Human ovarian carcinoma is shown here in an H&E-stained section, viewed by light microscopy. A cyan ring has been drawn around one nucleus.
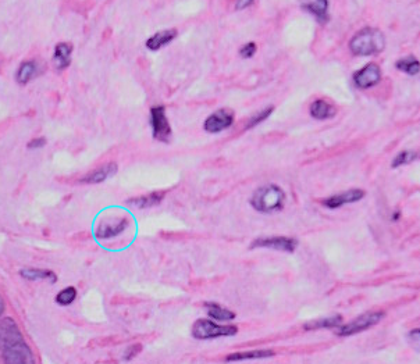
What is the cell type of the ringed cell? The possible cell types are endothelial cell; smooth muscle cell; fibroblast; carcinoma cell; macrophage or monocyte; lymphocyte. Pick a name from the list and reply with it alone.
fibroblast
